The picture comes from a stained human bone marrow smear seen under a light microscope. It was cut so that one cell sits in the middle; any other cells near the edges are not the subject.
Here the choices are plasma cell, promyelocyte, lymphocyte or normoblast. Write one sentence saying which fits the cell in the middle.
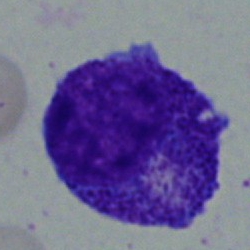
This crop has a promyelocyte at its centre.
